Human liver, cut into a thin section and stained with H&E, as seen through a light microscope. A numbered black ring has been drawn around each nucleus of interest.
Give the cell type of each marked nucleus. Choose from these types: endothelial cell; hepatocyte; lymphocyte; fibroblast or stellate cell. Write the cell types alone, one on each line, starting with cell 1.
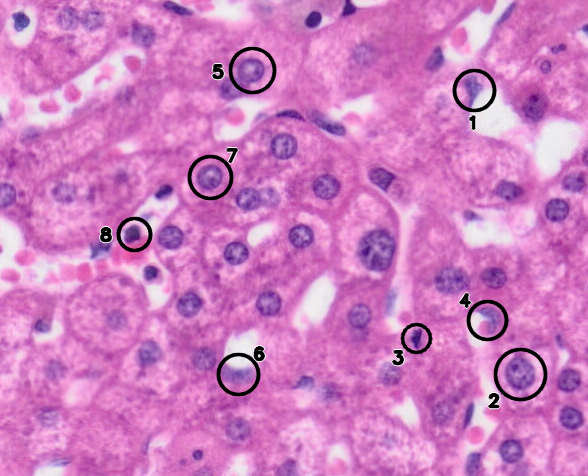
fibroblast or stellate cell
hepatocyte
fibroblast or stellate cell
endothelial cell
hepatocyte
endothelial cell
hepatocyte
lymphocyte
